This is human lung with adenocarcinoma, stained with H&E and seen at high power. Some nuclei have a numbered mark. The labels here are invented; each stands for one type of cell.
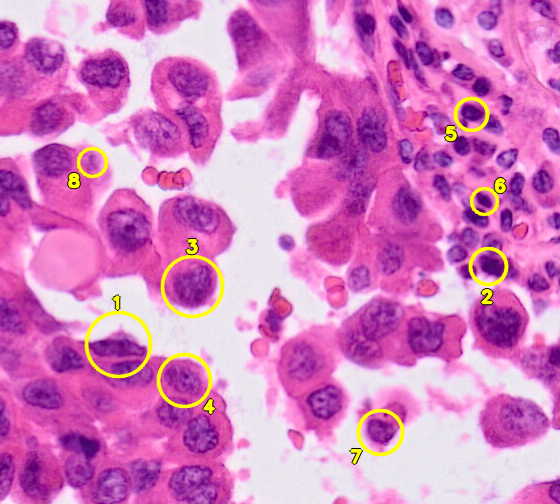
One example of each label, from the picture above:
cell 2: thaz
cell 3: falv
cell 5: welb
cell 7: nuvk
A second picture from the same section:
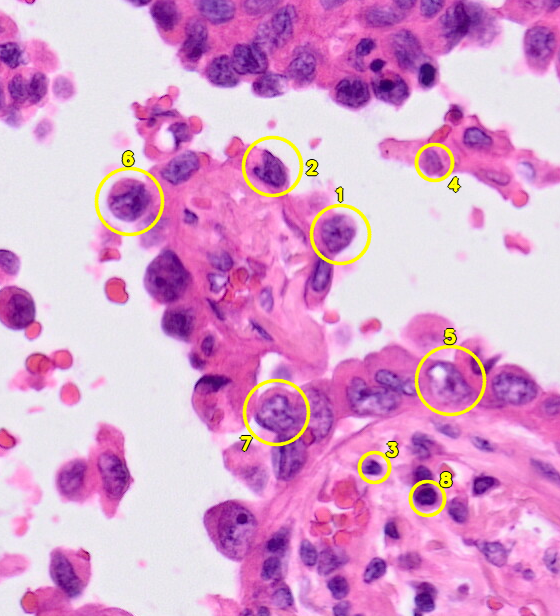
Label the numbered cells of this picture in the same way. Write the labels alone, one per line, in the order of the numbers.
falv
falv
thaz
nuvk
falv
falv
falv
welb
